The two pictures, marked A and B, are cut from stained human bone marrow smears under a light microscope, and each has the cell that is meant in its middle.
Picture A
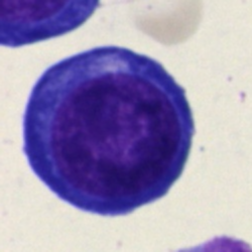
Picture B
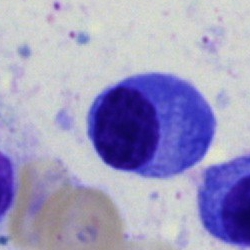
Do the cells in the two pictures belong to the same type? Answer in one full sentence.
No; the cell in picture A is a proerythroblast, while the one in picture B is a plasma cell.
